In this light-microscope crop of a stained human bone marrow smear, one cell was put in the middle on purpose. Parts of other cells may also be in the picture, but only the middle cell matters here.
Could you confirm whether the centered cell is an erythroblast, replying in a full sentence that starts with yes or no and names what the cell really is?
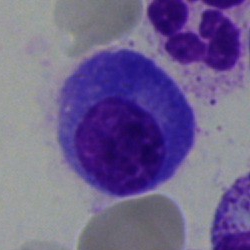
No, the centred cell is a plasma cell, and it is not an erythroblast.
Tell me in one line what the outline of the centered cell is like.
Its surface contour is regular and smooth, without any protrusions.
